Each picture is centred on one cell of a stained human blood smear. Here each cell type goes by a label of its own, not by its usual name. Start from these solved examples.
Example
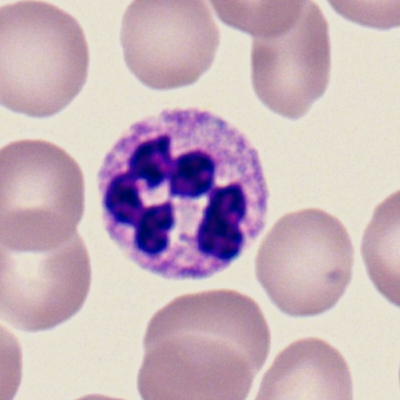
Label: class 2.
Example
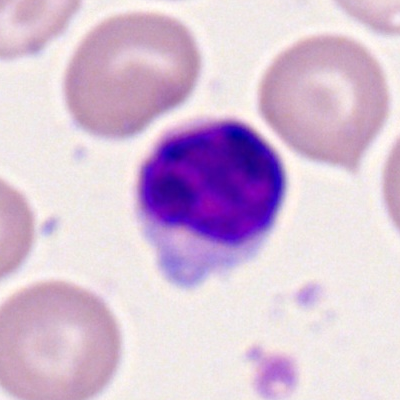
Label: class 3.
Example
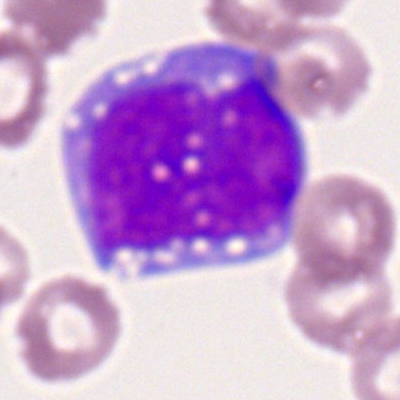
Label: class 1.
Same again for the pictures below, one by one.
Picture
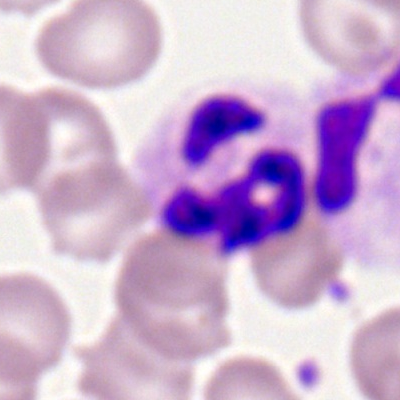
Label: class 2.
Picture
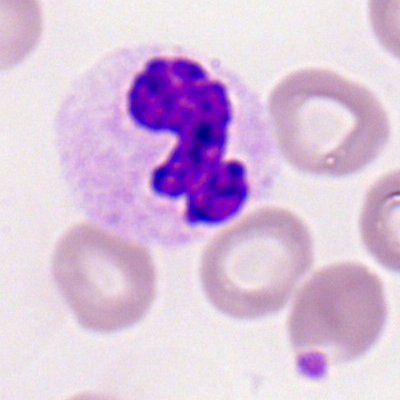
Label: class 2.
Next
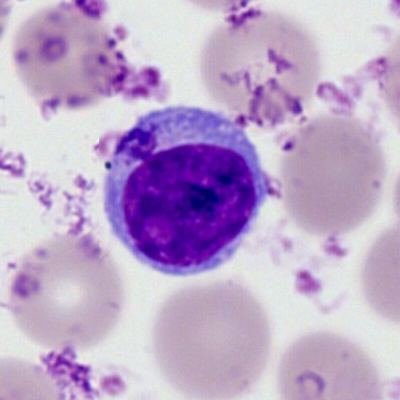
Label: class 3.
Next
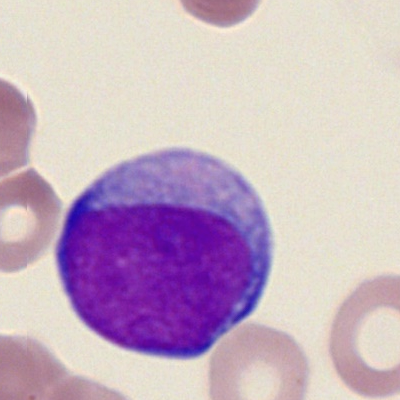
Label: class 1.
